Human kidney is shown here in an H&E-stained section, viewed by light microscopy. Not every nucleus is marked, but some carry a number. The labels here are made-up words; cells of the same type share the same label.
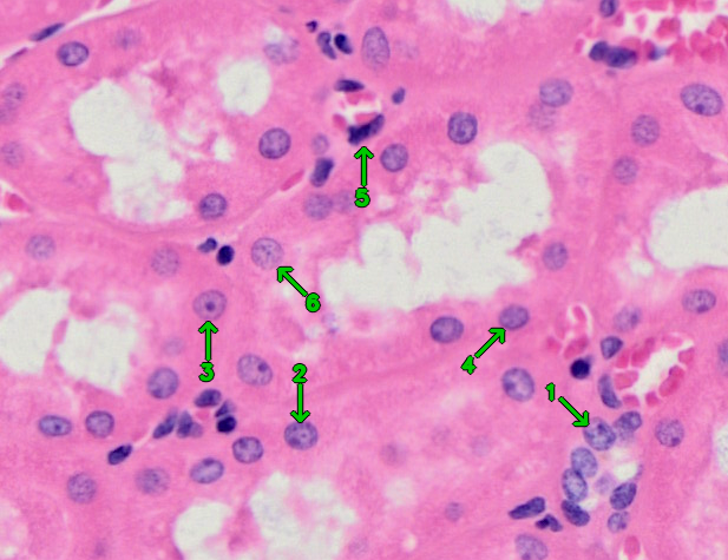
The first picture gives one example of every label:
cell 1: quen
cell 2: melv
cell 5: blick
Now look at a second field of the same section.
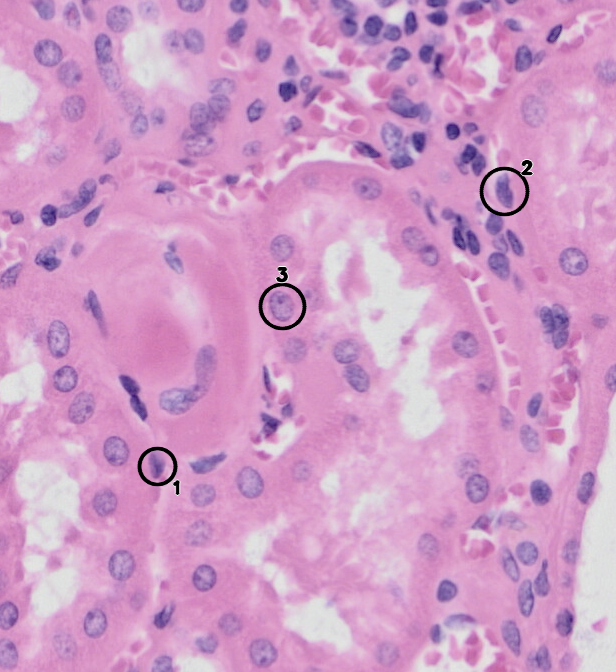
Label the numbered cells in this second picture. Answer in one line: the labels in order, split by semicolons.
blick; blick; melv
